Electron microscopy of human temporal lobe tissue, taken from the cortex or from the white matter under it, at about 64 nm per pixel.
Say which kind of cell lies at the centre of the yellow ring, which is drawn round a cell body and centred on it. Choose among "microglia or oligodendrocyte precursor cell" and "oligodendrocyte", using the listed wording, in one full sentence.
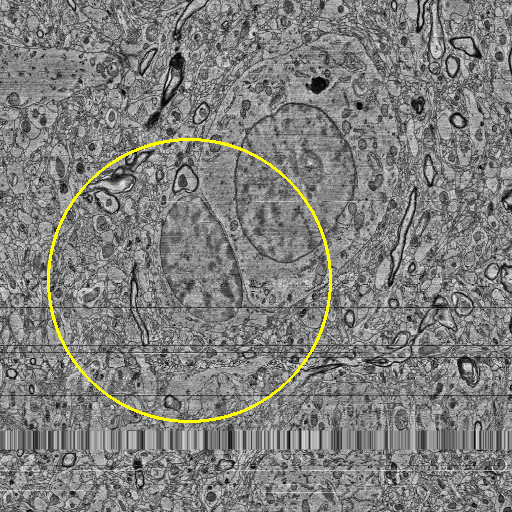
Going by the list, the cell at the yellow ring's centre is an oligodendrocyte.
